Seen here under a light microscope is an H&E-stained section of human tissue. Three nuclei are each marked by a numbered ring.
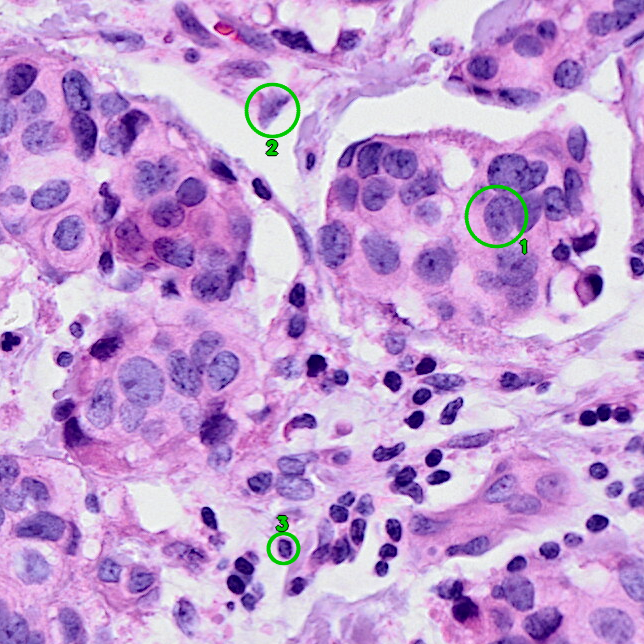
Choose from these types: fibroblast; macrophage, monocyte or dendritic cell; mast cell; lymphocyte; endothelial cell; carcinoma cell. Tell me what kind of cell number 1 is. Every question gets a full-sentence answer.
The label 1 in this section denotes a carcinoma cell.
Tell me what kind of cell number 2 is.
Looking at the numbered marks, cell 2 is a fibroblast.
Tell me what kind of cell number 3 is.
Cell 3 of the marked set is a lymphocyte.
